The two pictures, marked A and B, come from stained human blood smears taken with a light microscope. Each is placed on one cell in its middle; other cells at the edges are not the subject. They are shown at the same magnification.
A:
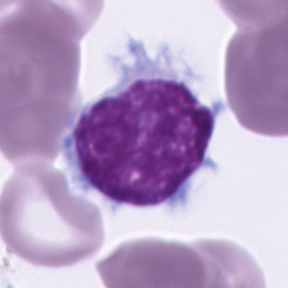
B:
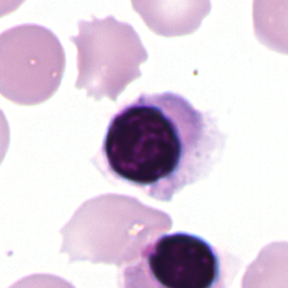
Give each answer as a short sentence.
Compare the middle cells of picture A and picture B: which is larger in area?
The cell in picture A is larger, with about 2 times the area of the one in picture B.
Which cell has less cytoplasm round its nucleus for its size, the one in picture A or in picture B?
Of the two, the nucleus in picture A makes up the greater part of its cell.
